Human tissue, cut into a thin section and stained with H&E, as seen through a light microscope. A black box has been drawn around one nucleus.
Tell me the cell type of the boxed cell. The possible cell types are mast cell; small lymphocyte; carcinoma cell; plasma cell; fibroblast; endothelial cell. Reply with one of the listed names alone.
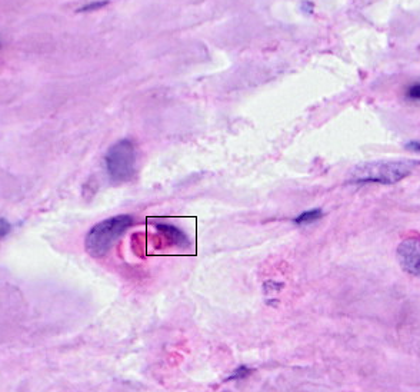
endothelial cell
